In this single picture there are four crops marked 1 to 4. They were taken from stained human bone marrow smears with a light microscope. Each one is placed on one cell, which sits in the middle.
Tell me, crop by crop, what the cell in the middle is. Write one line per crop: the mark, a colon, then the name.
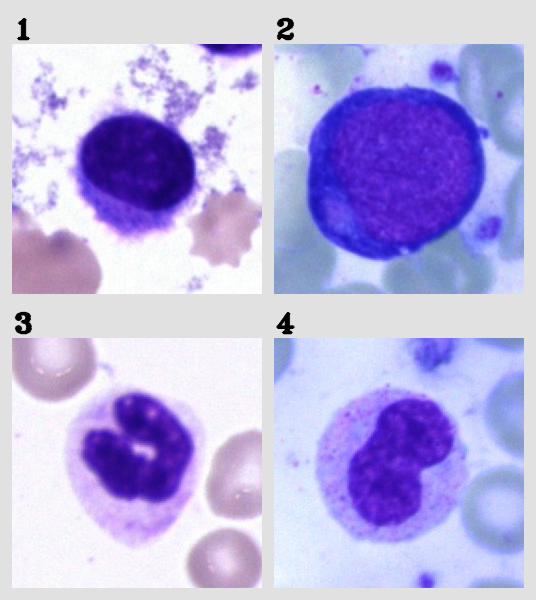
1: hairy cell
2: proerythroblast
3: band neutrophil
4: metamyelocyte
